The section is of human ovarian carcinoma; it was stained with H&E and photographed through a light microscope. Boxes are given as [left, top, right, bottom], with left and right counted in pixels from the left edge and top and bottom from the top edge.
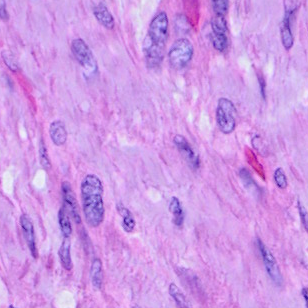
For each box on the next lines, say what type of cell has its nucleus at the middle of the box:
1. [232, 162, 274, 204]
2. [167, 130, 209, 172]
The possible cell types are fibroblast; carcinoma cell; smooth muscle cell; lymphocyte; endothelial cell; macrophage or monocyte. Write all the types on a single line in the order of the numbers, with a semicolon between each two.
endothelial cell; fibroblast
